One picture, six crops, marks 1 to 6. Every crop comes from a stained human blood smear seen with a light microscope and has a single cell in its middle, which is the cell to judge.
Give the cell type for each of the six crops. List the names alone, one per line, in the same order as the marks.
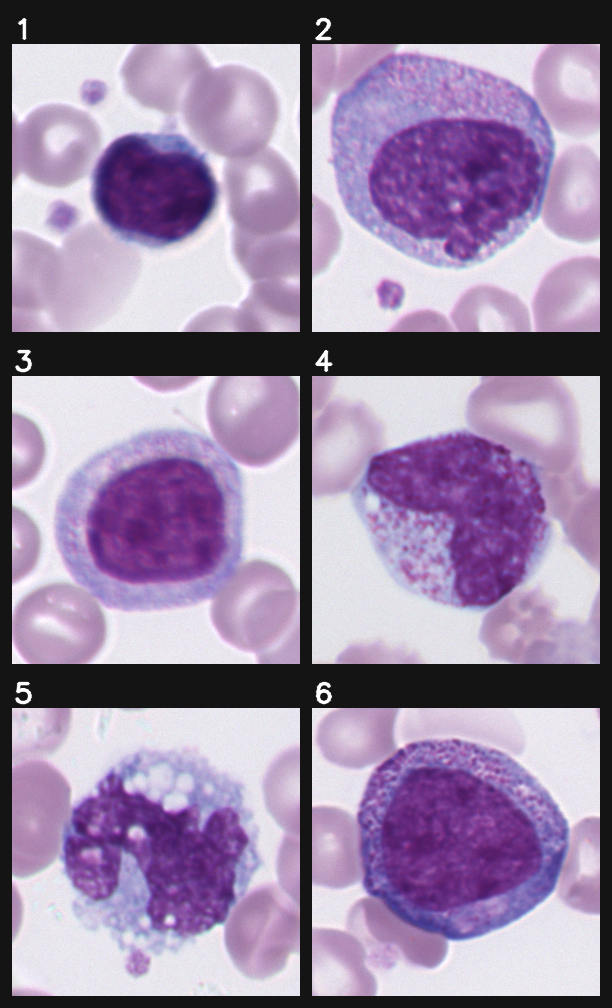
lymphocyte
promyelocyte
myelocyte
band neutrophil
monocyte
promyelocyte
